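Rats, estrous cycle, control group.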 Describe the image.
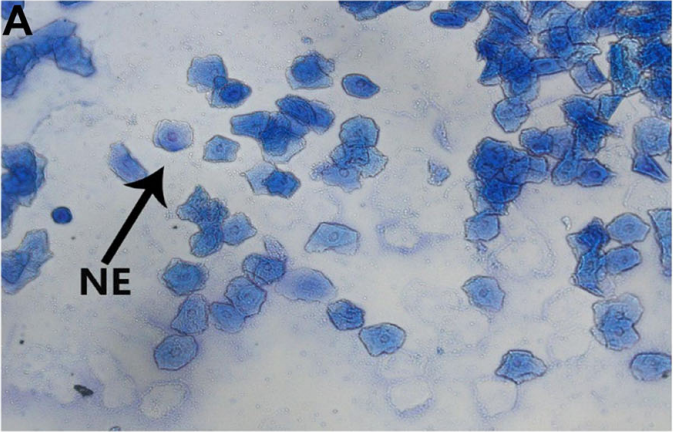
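This vaginal smear consists mainly of nucleated epithelial cells, rounded to polygonal in outline, with blue cytoplasm and a distinct round central nucleus. The cells lie partly singly and partly in dense clusters and sheets where they overlap. Large flat cells without nuclei and small round leukocytes are scarce.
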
